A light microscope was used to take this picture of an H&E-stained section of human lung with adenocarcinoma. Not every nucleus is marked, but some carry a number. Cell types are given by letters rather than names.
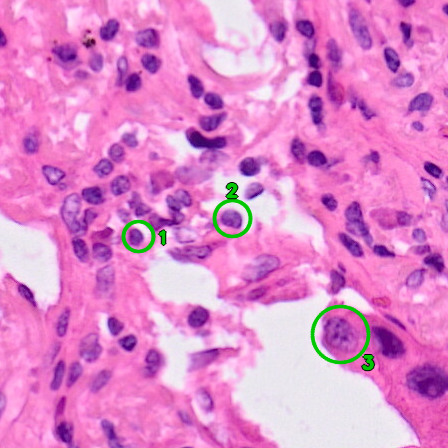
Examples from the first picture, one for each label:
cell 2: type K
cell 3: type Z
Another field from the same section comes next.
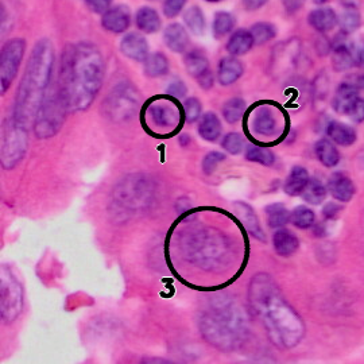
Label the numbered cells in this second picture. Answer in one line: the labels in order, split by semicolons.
type K; type K; type Z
